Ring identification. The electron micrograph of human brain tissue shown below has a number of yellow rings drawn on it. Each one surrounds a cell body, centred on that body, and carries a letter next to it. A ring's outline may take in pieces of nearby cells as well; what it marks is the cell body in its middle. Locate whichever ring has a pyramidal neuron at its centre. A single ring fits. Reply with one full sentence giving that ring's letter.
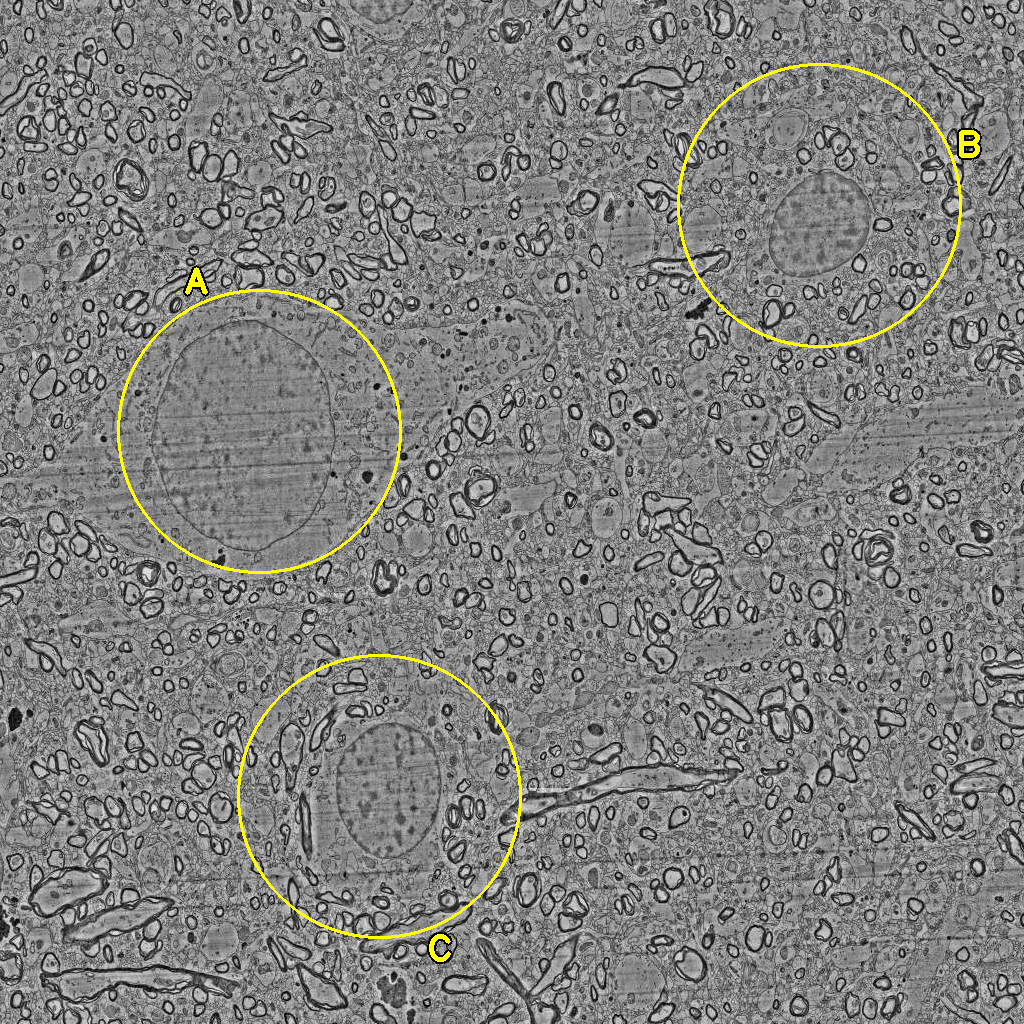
The letter A belongs to the ring centred on a cell of that kind.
